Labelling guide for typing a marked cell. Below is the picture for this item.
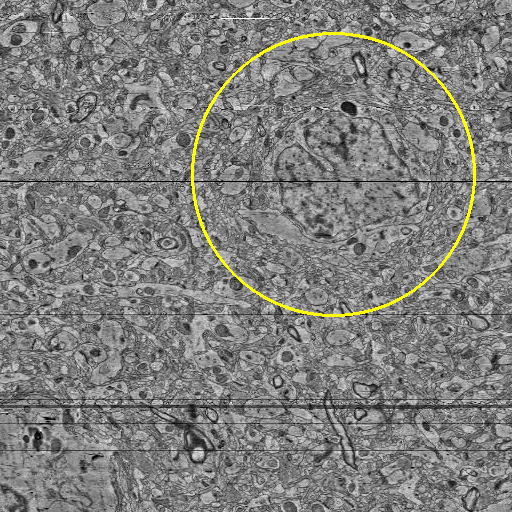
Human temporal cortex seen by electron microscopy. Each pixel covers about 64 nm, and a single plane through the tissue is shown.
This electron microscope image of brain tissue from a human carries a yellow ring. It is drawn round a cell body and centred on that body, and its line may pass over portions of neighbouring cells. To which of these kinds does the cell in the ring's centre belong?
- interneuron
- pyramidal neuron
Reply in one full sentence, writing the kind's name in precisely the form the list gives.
Here we have an interneuron at the centre of the yellow ring in the picture.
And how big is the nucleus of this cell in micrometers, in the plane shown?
Approximately 9 micrometers across in this plane.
